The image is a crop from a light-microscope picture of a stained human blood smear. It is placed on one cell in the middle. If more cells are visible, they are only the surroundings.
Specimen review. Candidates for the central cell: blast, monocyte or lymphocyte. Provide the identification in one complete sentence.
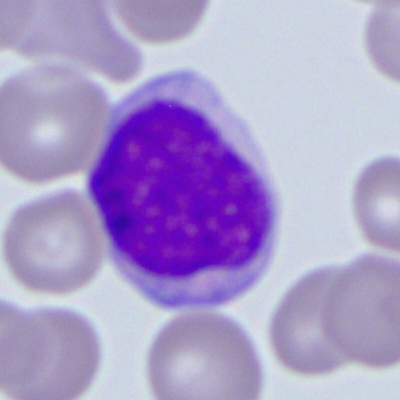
The cell that lies at the centre of the crop is a blast.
